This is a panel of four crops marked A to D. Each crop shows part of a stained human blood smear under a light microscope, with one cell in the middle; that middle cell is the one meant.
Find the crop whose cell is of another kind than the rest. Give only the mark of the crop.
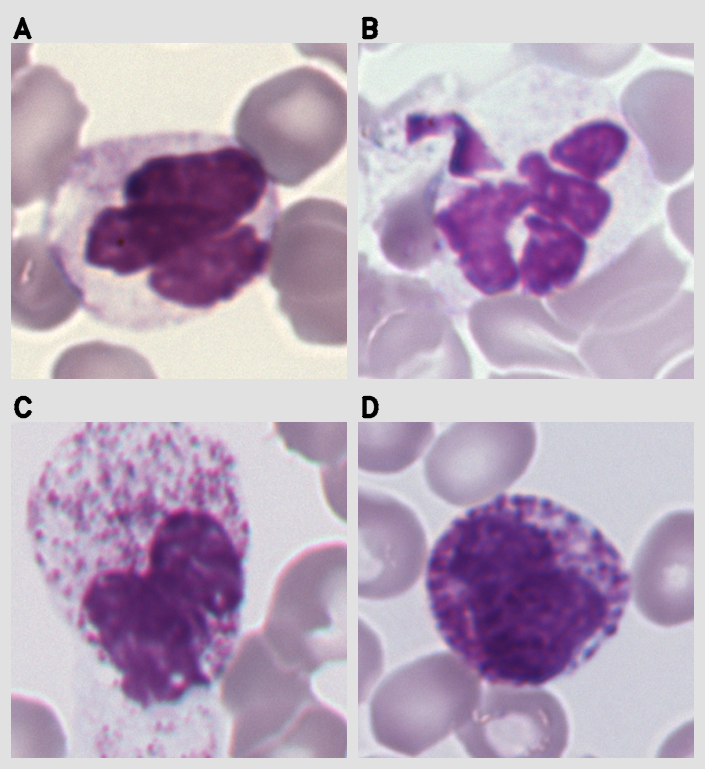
D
